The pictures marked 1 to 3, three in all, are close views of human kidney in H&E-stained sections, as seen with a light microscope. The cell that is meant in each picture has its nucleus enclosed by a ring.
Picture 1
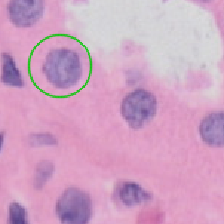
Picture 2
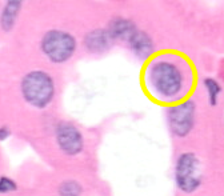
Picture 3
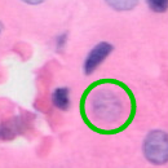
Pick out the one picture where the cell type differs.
3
